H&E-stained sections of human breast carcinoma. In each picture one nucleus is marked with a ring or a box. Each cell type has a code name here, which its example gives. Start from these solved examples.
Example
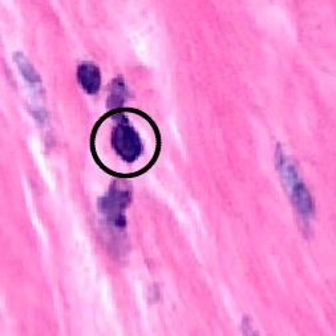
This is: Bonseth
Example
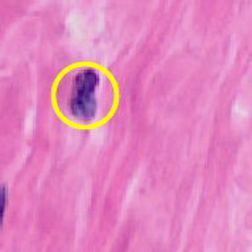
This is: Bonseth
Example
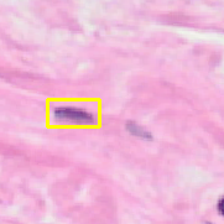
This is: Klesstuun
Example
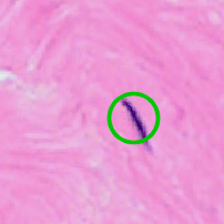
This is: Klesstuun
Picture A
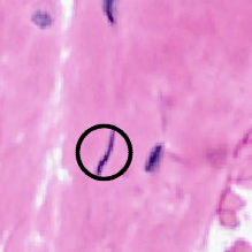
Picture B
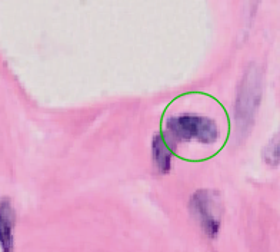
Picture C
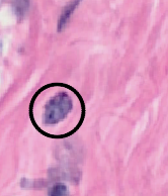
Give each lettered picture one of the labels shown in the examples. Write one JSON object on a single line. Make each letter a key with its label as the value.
{"A": "Klesstuun", "B": "Bonseth", "C": "Bonseth"}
